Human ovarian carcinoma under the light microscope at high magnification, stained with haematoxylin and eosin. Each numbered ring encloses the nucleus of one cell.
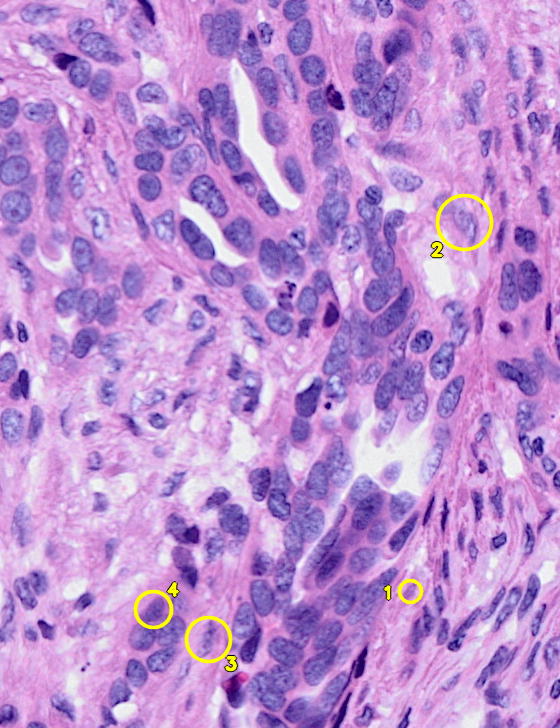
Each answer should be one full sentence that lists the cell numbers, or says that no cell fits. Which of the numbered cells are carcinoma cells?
Exactly one of the numbered cells is a carcinoma cell, namely cell 4.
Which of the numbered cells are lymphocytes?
Concerning the numbered cells, no lymphocytes are among them.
